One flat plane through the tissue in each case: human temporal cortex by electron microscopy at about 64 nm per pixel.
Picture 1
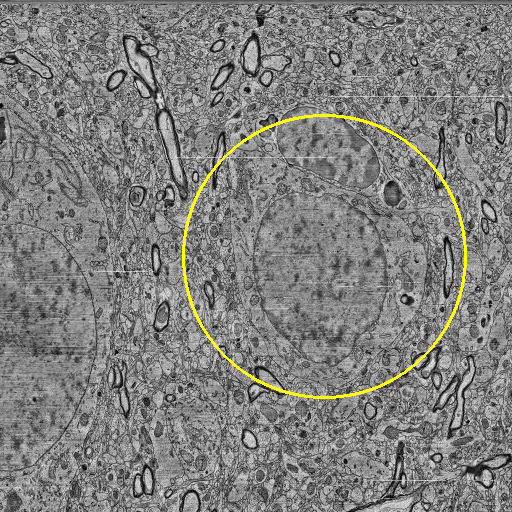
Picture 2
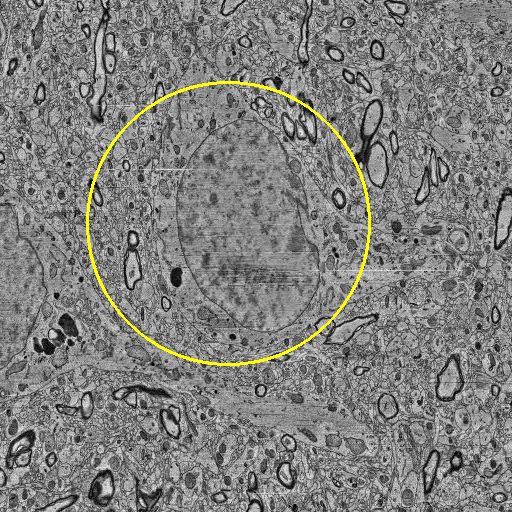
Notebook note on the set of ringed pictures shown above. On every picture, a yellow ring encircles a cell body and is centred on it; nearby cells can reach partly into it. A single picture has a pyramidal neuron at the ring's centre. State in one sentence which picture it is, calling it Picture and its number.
Picture 2 is the one whose ring is centred on the sought cell.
